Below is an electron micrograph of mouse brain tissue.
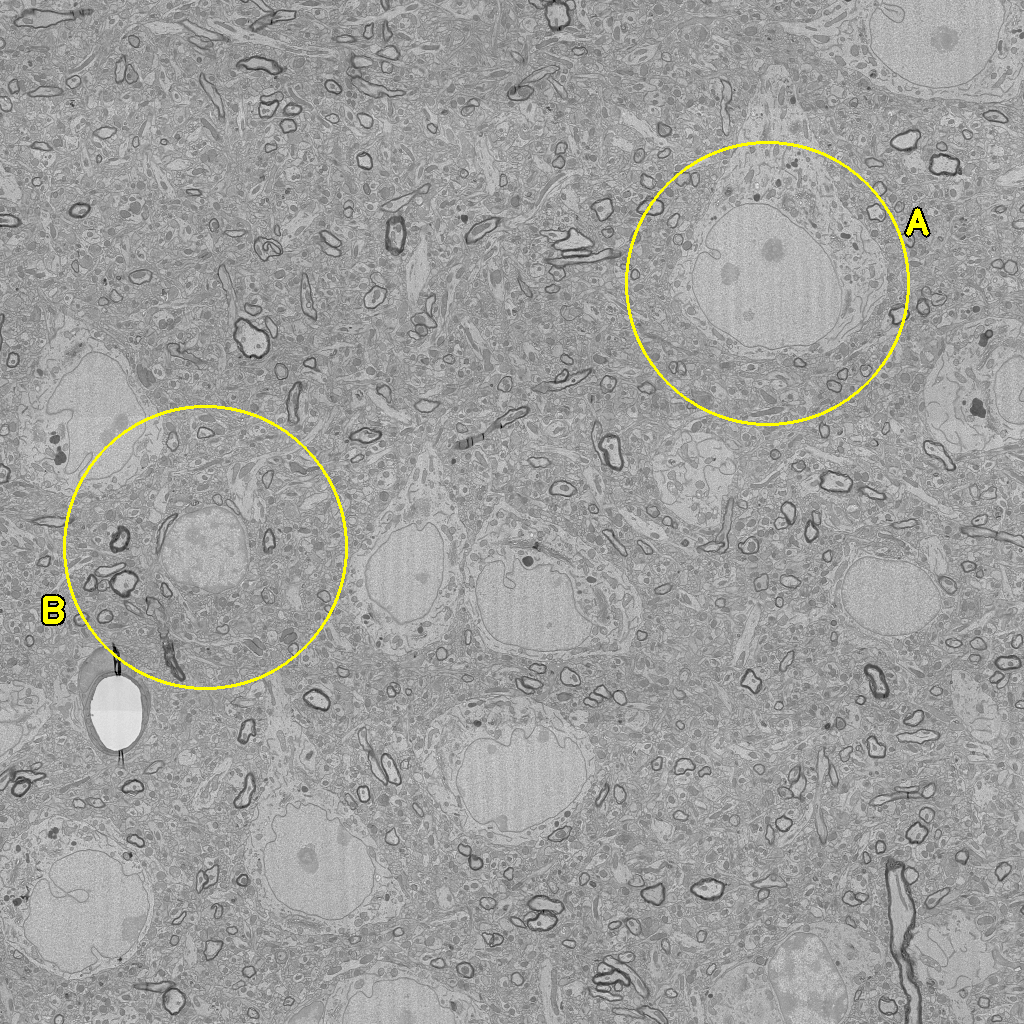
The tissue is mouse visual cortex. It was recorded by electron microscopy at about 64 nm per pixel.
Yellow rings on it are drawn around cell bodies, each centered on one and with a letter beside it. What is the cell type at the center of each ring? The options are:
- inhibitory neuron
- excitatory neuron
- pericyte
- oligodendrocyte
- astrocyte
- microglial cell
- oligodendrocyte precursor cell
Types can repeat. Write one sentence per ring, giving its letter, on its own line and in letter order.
At the center of ring A is an excitatory neuron.
At the center of ring B is an oligodendrocyte.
